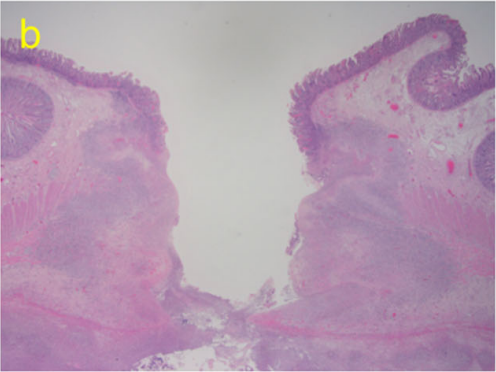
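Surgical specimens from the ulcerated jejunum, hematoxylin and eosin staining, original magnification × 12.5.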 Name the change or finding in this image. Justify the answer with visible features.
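Intestinal wall with mucosa on both sides of a central gap. The wall beside the gap is thickened by a dense purple infiltrate. That points to this answer: perforated lesions.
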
